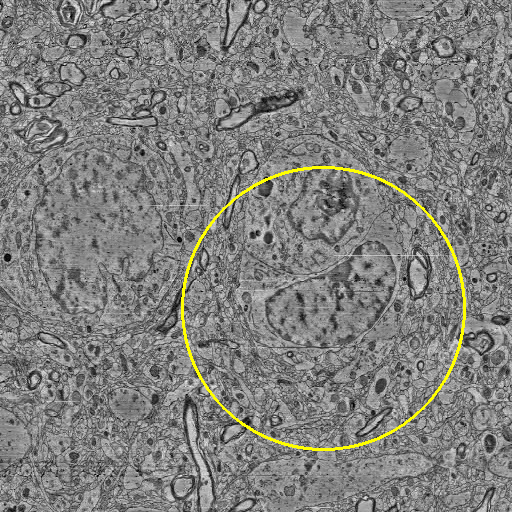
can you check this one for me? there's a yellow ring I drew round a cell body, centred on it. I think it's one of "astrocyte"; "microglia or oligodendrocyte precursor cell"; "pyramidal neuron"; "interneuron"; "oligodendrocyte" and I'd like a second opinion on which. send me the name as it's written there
microglia or oligodendrocyte precursor cell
